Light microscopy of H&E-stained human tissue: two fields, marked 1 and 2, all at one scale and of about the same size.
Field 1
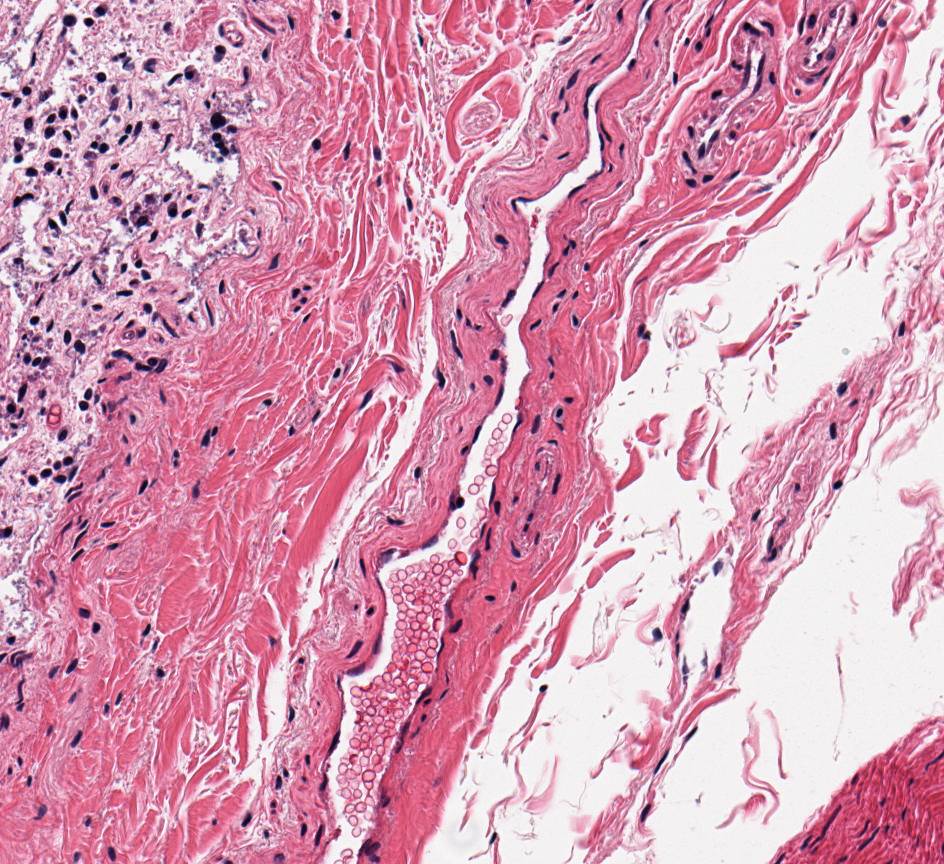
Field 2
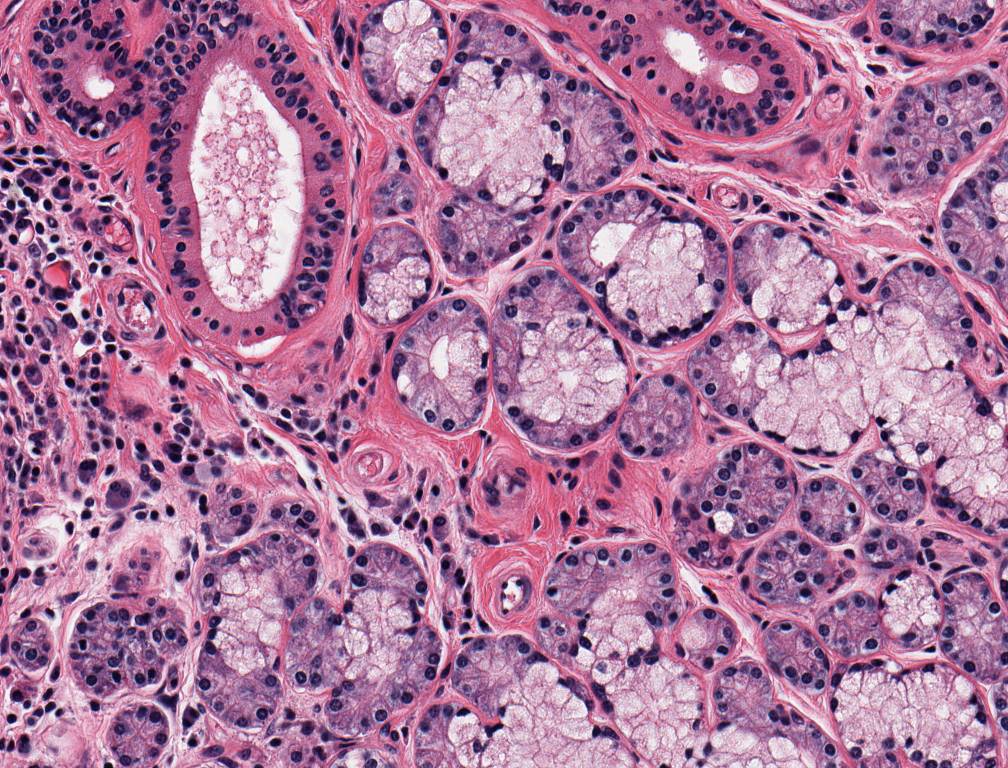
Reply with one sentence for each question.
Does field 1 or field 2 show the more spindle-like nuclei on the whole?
Longer, more slender nuclei lie in field 1.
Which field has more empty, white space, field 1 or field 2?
It is field 1 in which white space covers the larger part.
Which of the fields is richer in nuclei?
It is field 2 that has more nuclei in it.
